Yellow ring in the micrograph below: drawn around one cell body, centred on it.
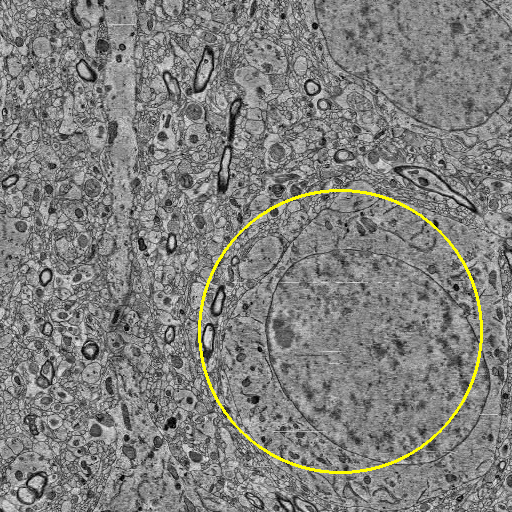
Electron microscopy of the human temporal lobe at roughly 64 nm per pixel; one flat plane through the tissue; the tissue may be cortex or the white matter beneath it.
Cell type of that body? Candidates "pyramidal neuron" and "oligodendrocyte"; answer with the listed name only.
pyramidal neuron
